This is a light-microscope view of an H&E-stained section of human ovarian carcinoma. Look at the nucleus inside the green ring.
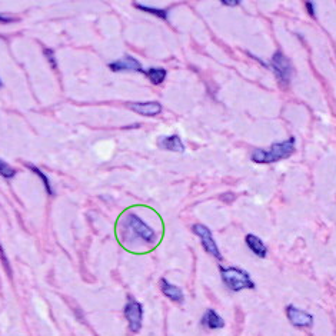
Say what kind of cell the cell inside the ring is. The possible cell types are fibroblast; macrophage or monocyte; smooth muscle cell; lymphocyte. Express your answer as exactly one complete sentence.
In this preparation, the cell inside the ring is a fibroblast.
